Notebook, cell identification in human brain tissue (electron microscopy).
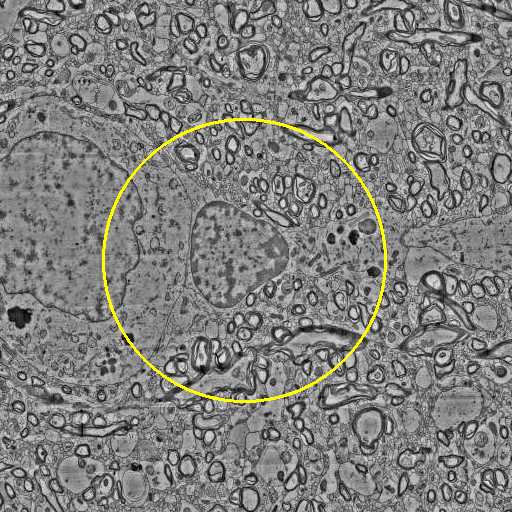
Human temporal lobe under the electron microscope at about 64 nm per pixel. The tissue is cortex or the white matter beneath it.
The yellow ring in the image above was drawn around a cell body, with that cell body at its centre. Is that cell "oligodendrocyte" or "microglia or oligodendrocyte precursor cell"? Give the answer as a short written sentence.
The cell in the ring is a microglial cell or oligodendrocyte precursor cell.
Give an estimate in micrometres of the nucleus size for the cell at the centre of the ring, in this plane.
Roughly 6 micrometres across for the nucleus, in this plane.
